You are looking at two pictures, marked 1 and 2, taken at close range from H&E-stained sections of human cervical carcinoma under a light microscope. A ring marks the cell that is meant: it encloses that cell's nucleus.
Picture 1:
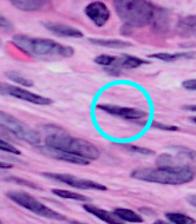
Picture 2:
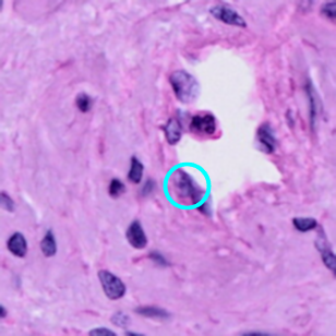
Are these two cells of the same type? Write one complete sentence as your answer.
No, picture 1 shows a fibroblast and picture 2 shows an endothelial cell.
